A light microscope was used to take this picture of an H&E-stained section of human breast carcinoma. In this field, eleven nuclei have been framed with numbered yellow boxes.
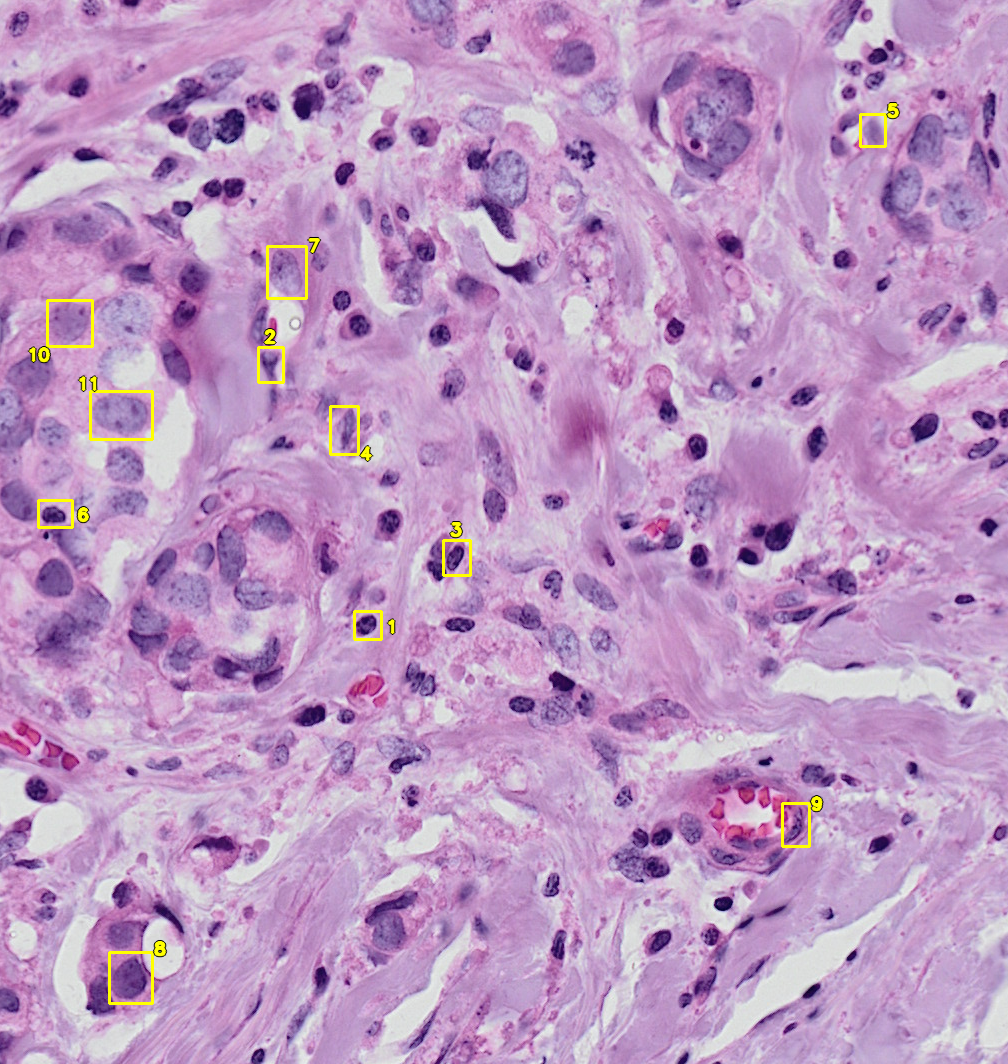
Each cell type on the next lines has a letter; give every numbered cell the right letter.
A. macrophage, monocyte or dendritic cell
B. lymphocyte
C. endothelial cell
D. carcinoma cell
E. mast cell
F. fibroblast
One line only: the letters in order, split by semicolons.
B; C; B; F; C; B; C; D; C; D; D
